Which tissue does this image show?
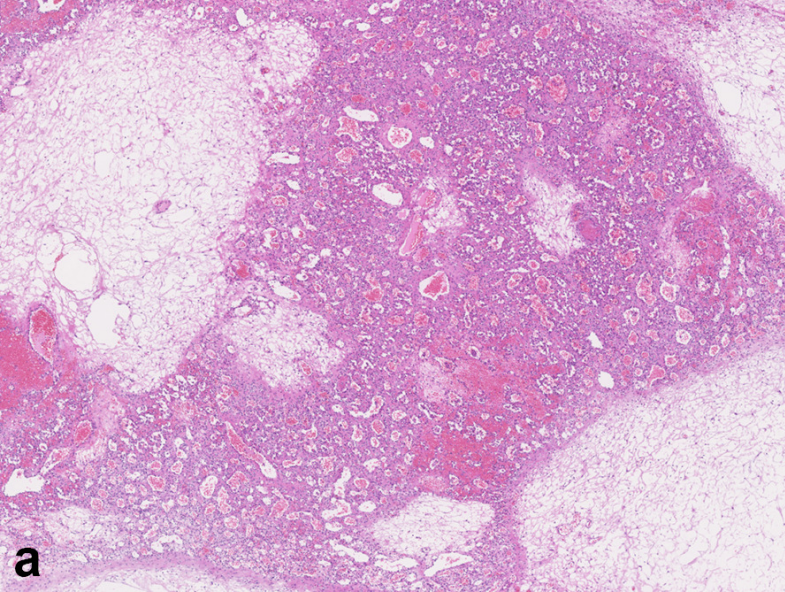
Dense capillaries and mature adipose tissue.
